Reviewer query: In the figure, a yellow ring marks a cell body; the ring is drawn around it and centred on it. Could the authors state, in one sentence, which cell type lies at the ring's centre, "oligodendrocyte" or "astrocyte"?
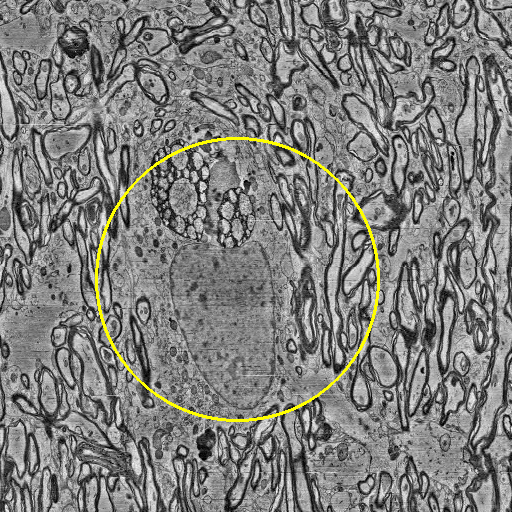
The ring is centred on an astrocyte.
